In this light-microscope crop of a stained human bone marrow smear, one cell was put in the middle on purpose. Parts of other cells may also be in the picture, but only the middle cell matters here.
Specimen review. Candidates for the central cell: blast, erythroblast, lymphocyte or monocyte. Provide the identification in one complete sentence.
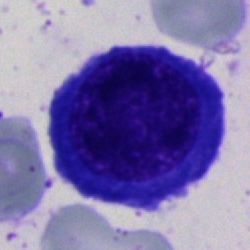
Centrally within this crop lies an erythroblast.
